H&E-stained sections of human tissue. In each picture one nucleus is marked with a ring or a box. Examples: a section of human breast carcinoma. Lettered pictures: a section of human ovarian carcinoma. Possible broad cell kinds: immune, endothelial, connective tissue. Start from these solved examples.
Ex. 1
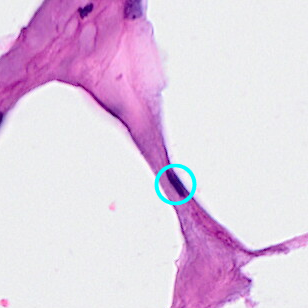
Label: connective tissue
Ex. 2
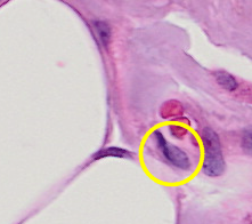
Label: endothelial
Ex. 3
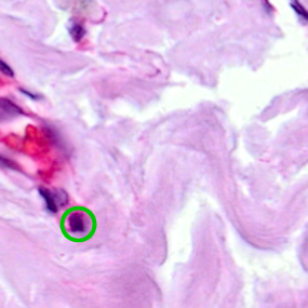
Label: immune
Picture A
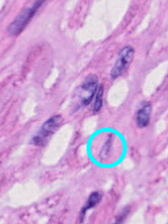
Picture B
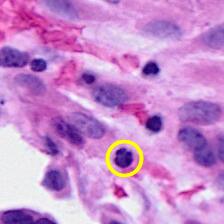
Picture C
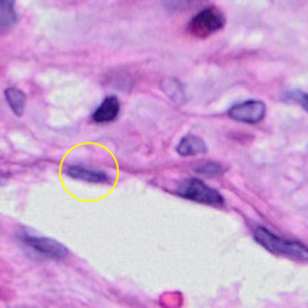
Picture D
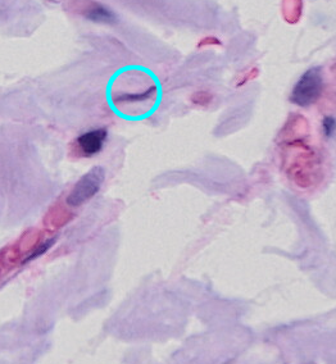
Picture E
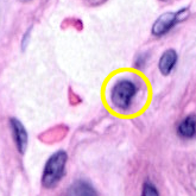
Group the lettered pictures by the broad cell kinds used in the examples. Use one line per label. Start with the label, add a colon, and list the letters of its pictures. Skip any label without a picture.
immune: B
endothelial: C, E
connective tissue: A, D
